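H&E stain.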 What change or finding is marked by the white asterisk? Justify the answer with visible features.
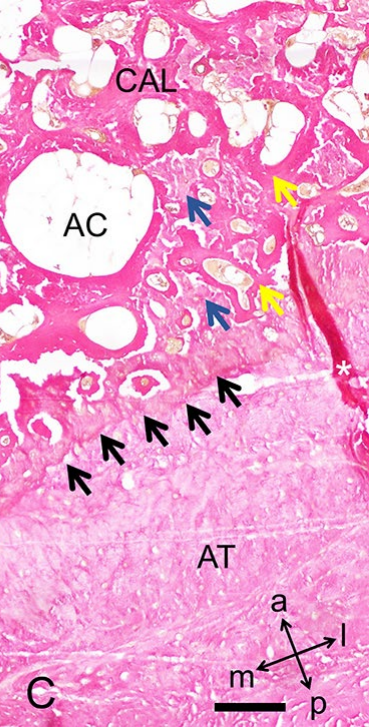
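A narrow dark red line runs obliquely along the right edge next to the asterisk. The line is thicker and darker than the surrounding tissue, as where the section overlaps itself.
Folding artefact.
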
